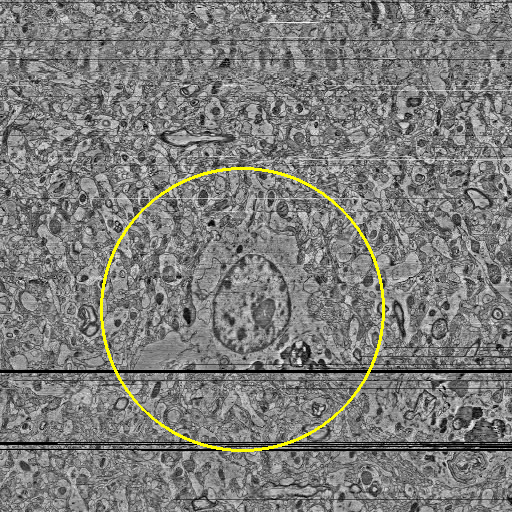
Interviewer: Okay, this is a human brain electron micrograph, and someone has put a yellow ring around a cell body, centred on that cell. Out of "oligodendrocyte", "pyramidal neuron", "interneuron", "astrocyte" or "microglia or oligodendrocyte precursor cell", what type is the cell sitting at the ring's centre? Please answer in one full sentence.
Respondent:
The cell at the centre of the yellow ring in this picture is an astrocyte.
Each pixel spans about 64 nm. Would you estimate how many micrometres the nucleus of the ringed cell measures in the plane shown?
Roughly 6 by 5 micrometres in this plane, for the nucleus of the ringed cell.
